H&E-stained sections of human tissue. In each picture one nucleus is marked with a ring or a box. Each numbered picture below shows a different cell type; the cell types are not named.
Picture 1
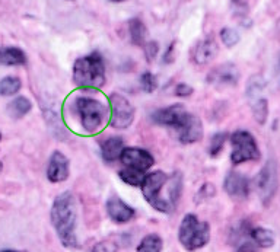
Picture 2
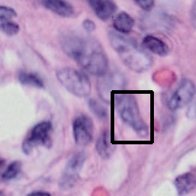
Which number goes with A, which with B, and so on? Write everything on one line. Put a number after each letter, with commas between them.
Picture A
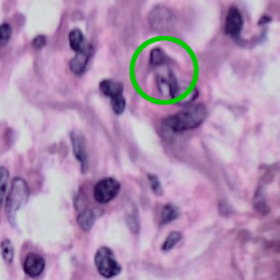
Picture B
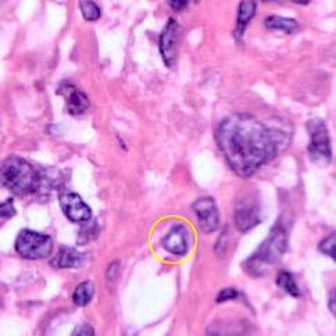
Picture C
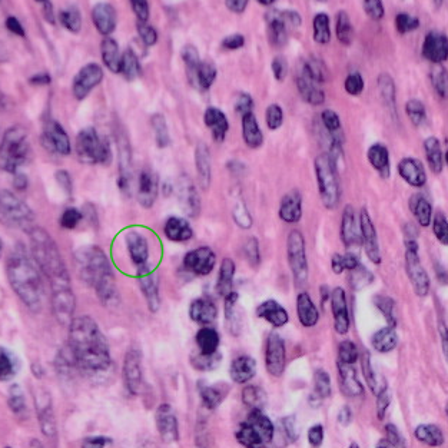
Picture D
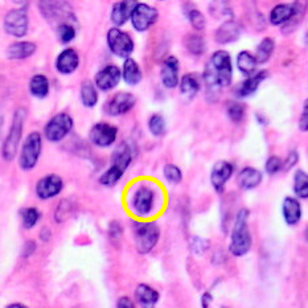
A 2, B 2, C 1, D 1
